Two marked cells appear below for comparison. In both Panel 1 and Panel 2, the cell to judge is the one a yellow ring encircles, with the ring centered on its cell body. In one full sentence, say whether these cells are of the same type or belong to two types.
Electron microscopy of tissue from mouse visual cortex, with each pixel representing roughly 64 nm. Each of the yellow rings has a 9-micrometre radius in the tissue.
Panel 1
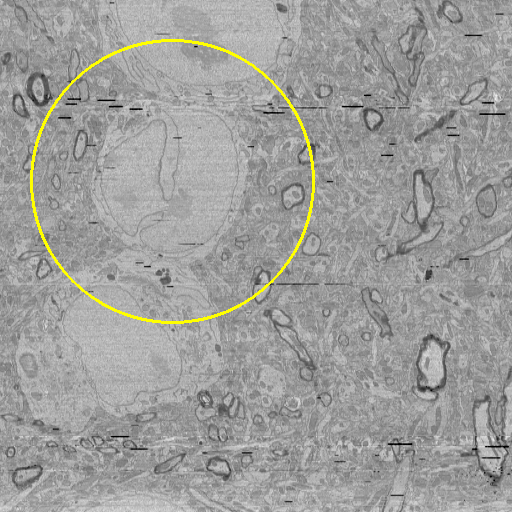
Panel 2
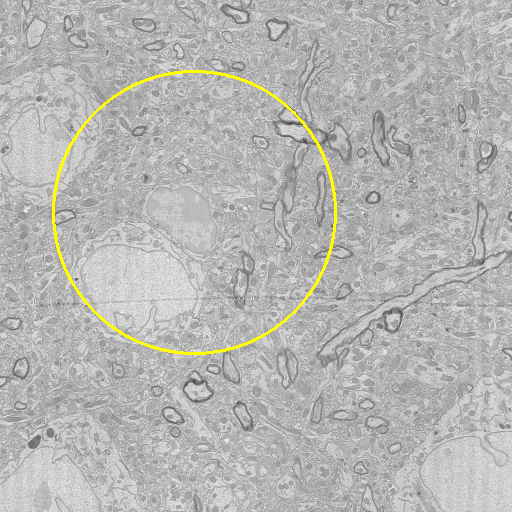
The cell centered in the Panel 1 ring and the one in Panel 2 belong to two types.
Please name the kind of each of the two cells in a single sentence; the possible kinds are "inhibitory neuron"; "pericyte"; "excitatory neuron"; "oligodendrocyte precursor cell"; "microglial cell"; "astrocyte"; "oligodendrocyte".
In the first picture the ring is centred on an excitatory neuron, and in the second on a microglial cell.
